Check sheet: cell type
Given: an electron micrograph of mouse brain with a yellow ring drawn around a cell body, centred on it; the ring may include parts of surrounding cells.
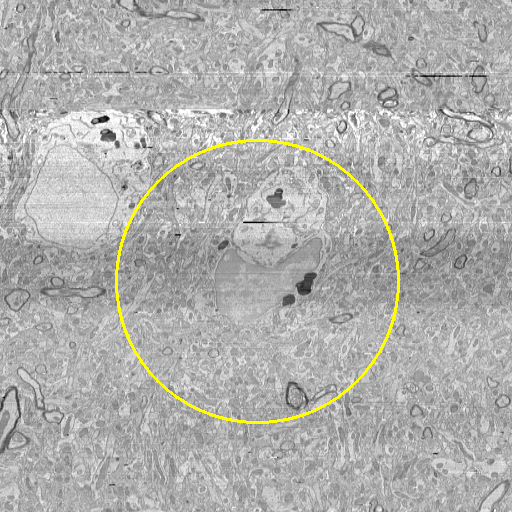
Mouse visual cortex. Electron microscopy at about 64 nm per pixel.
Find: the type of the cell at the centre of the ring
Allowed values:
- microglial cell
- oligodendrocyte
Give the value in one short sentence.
Here the ringed cell is a microglial cell.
